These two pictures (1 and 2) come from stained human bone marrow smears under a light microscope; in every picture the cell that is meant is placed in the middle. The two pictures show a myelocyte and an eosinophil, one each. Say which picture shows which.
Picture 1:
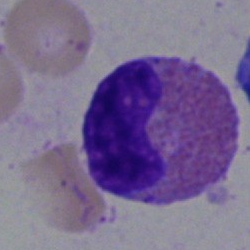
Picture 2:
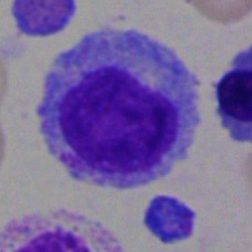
1: eosinophil
2: myelocyte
